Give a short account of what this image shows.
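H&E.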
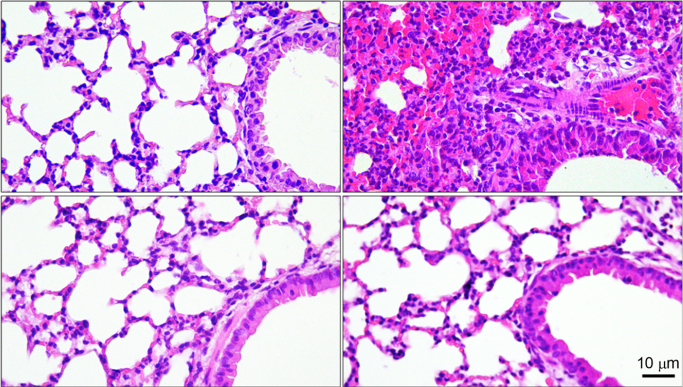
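The upper right view is very different: the air spaces are largely obliterated by densely packed nucleated cells, and the septa are thickened. Bright red patches of red blood cells lie in and between the alveoli there, pointing to congestion and bleeding into the tissue. Only a few small air spaces remain open in that view, so the normal lacy architecture of the lung is lost.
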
